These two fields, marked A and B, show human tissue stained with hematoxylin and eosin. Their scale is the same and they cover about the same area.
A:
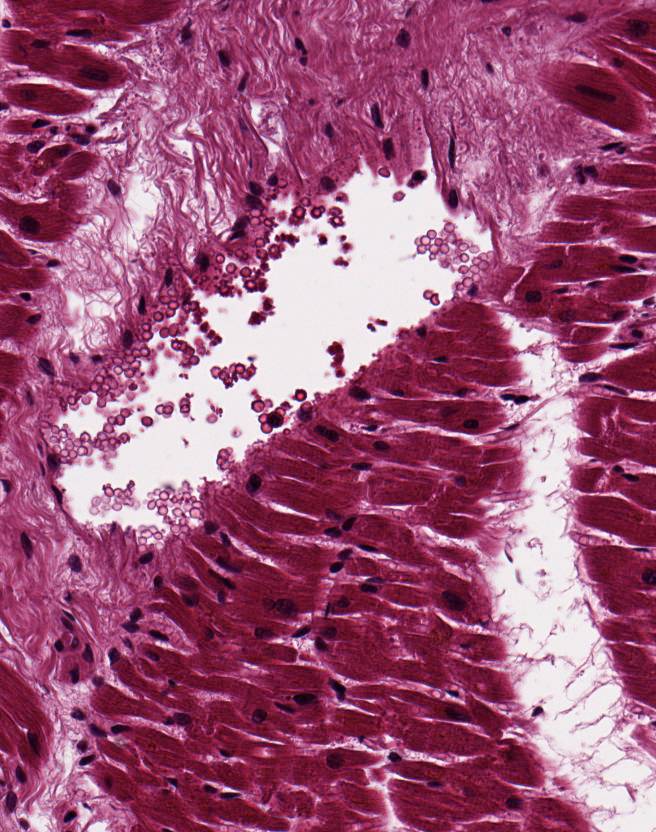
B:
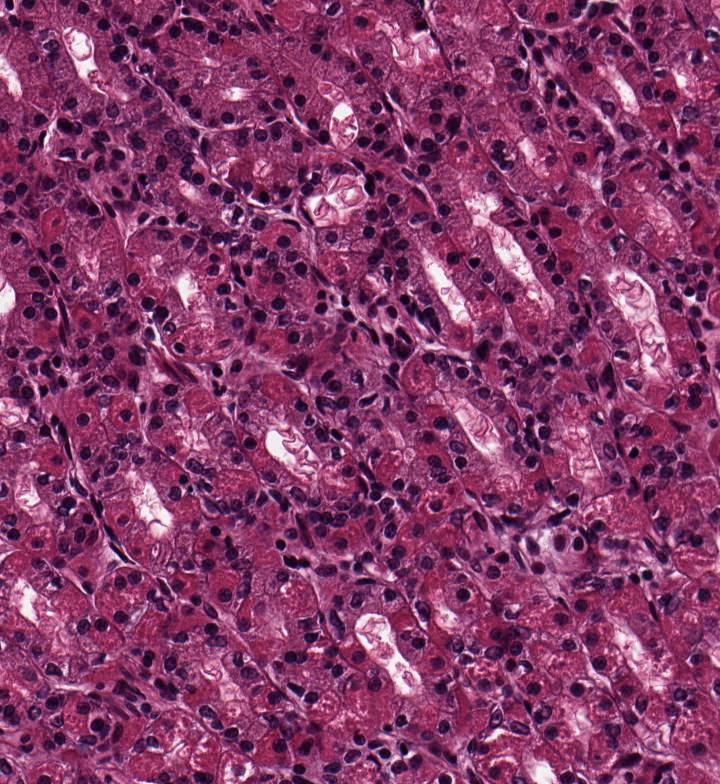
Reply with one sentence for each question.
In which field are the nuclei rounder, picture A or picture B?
Rounder nuclei lie in picture B.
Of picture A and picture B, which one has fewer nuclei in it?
Picture A holds fewer nuclei than picture B.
